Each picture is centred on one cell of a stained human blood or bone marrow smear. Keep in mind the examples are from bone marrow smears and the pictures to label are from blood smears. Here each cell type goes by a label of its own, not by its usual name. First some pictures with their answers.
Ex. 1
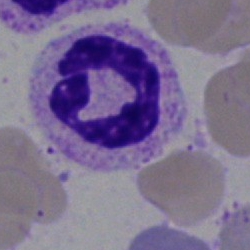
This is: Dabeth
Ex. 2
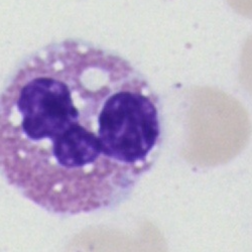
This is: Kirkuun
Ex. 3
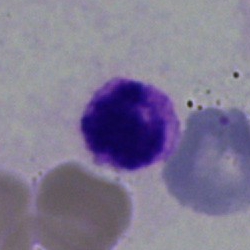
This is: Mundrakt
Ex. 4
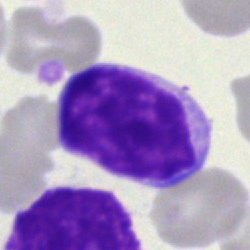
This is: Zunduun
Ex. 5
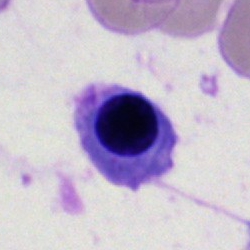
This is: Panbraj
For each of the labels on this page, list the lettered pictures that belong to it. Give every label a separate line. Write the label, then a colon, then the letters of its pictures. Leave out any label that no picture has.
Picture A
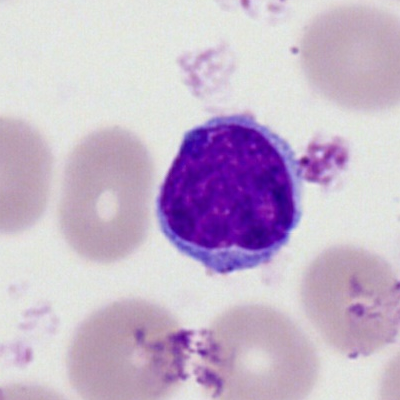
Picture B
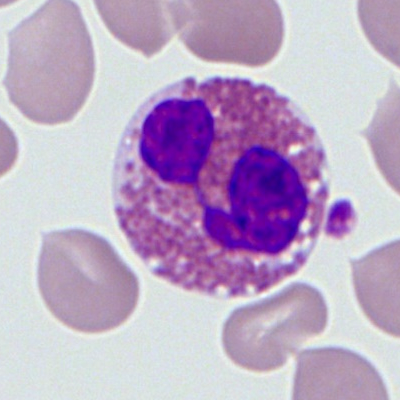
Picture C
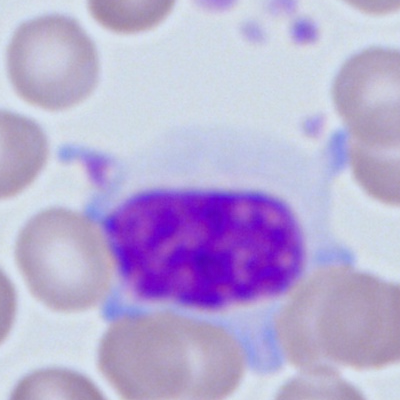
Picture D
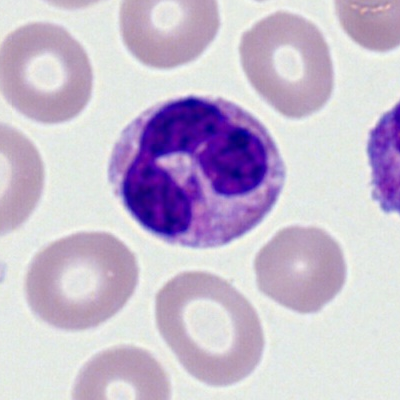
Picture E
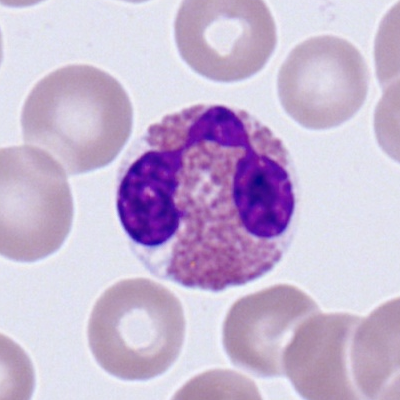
Dabeth: D
Kirkuun: B, E
Zunduun: A, C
